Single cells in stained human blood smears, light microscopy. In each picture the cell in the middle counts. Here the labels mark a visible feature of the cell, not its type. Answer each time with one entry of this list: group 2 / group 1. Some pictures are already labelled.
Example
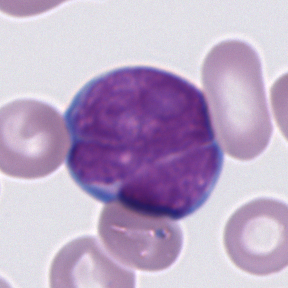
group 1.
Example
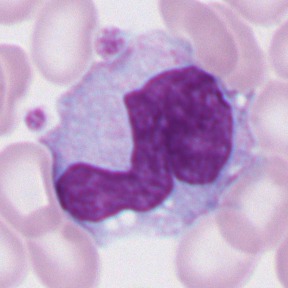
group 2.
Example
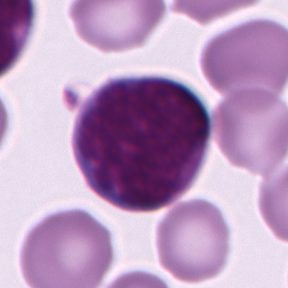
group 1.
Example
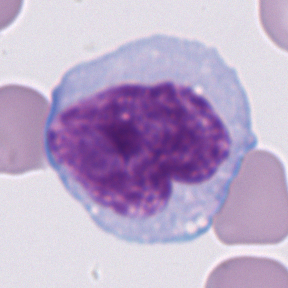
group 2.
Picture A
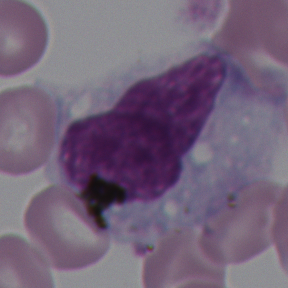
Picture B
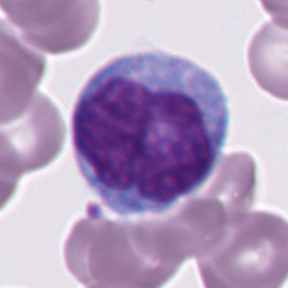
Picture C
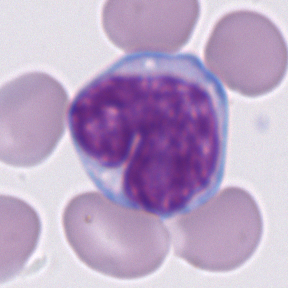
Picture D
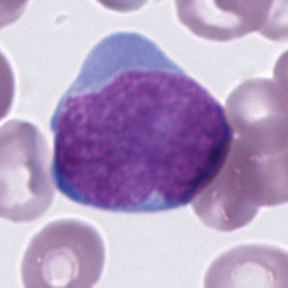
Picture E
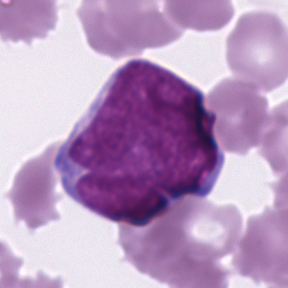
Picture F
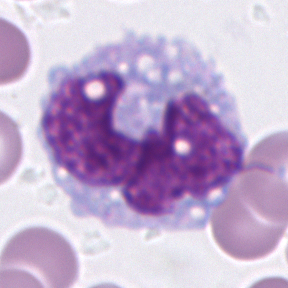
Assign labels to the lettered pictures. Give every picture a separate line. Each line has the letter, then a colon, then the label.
A: group 2.
B: group 1.
C: group 2.
D: group 1.
E: group 1.
F: group 2.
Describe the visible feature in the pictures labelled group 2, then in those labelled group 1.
In group 2: vacuoles present. In group 1: no vacuoles.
